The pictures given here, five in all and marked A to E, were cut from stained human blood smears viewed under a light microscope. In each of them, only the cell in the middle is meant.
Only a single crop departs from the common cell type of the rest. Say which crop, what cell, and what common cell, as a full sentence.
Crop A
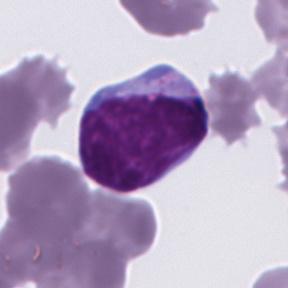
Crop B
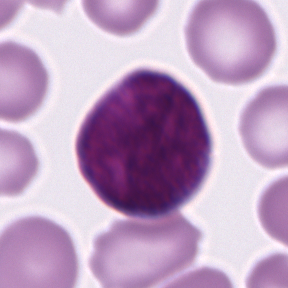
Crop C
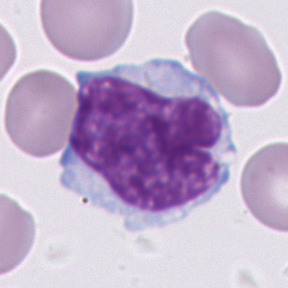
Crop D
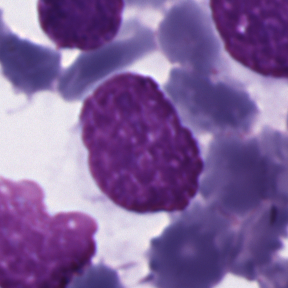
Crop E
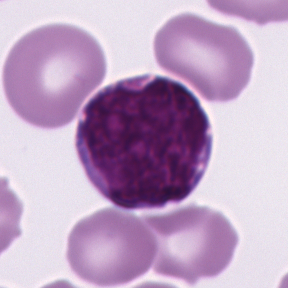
Where the others show myeloblasts, crop D shows a smudge cell.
